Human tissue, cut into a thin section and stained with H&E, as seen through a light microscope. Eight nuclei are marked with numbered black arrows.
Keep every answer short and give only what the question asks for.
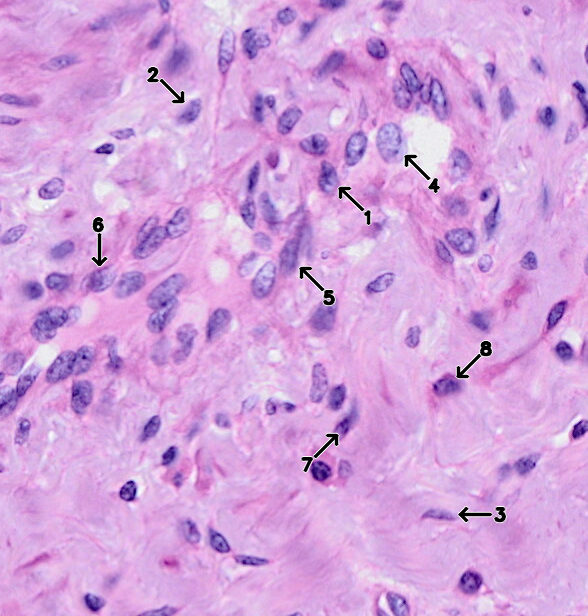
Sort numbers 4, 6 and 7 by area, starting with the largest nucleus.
4, 6, 7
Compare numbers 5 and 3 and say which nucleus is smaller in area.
3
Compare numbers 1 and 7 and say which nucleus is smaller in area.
7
